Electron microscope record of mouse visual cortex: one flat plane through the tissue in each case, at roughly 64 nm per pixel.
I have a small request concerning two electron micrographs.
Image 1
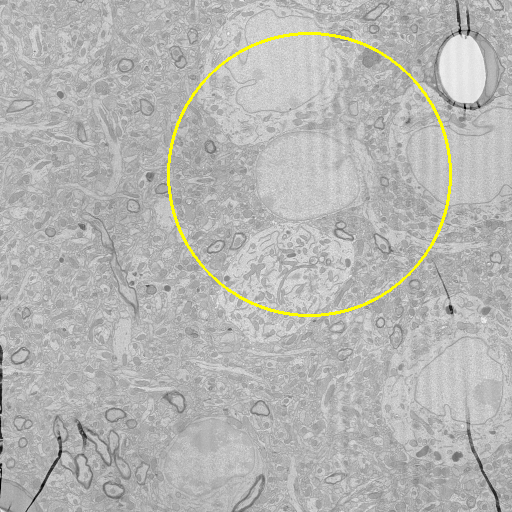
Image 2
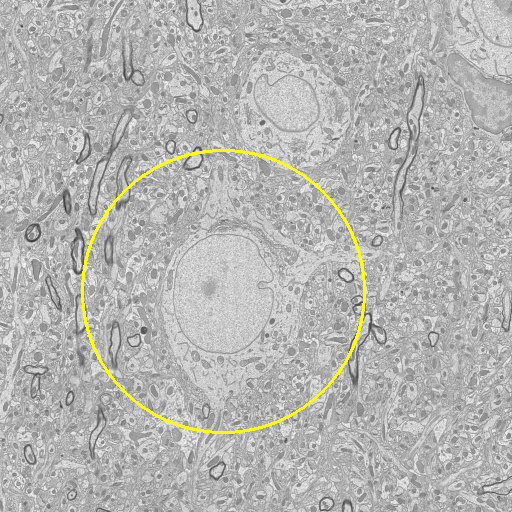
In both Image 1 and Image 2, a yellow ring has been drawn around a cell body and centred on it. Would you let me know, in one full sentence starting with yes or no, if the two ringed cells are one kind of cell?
No, the cells ringed in Image 1 and Image 2 are two kinds of cell.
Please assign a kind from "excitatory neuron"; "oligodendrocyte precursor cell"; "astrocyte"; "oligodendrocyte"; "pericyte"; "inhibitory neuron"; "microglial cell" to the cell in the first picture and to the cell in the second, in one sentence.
In the first picture we have an astrocyte, and in the second, an excitatory neuron.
